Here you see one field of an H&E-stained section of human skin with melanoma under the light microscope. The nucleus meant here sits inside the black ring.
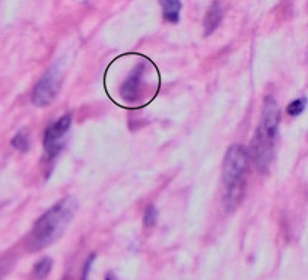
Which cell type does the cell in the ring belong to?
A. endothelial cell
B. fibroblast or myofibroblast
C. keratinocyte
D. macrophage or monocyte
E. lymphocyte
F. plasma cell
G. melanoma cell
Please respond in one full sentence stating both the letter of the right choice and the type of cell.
Option B, identifying the cell in the ring as a fibroblast or myofibroblast, is correct.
